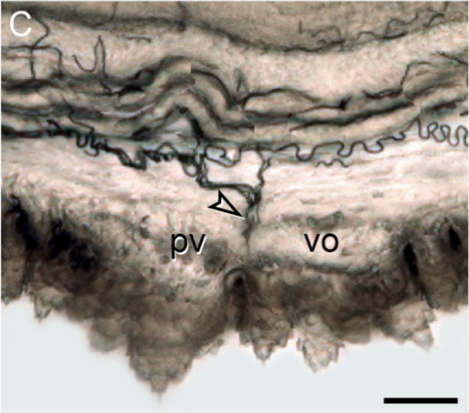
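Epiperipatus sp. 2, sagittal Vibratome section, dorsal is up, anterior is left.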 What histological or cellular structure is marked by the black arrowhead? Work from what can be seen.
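Bundles of tracheal tubes. Thin dark wavy tubes run down from a layer of similar tubes above. They reach the outer surface between the two labelled organs.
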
